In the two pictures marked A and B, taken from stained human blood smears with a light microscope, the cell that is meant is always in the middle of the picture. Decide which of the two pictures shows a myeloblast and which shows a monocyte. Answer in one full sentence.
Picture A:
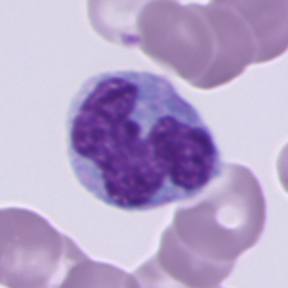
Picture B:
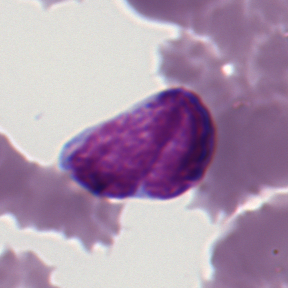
Picture B shows a myeloblast, while picture A shows a monocyte.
